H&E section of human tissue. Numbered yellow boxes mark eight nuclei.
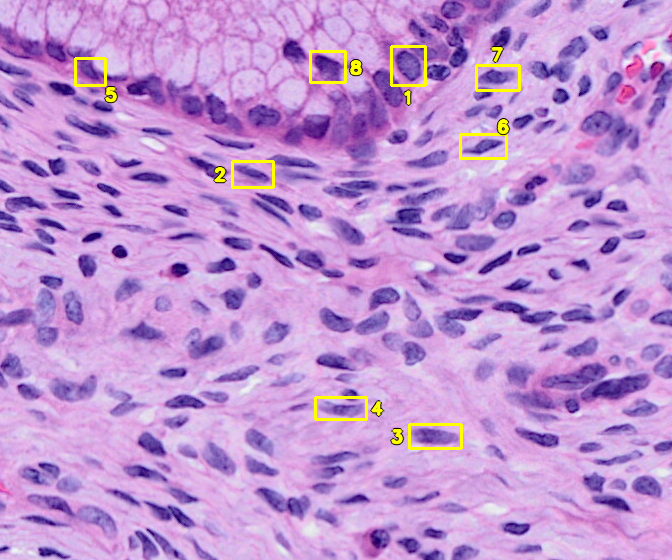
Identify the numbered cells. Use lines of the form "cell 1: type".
cell 1: secretory epithelial cell
cell 2: fibroblast
cell 3: fibroblast
cell 4: fibroblast
cell 5: secretory epithelial cell
cell 6: fibroblast
cell 7: fibroblast
cell 8: secretory epithelial cell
